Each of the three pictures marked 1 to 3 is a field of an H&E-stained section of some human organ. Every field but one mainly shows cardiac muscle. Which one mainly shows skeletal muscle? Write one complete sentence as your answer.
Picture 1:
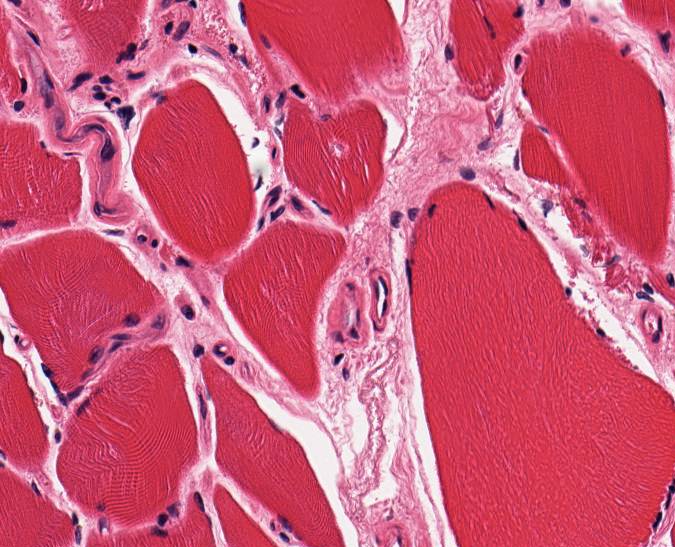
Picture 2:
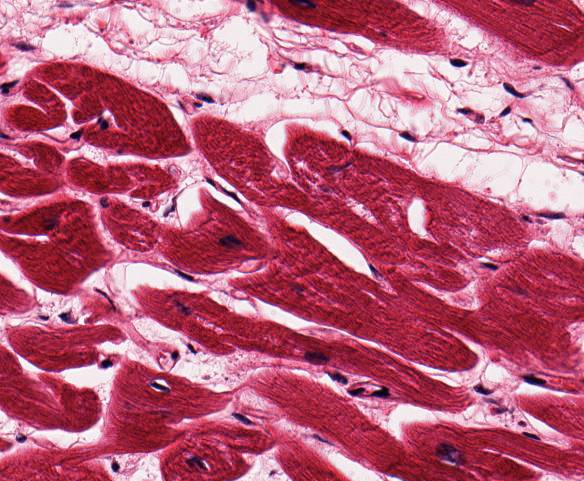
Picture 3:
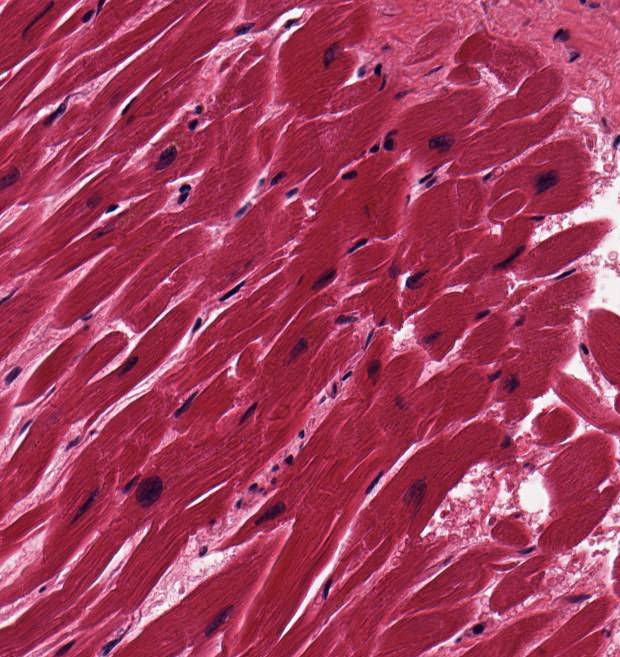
Picture 1 mainly shows skeletal muscle.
